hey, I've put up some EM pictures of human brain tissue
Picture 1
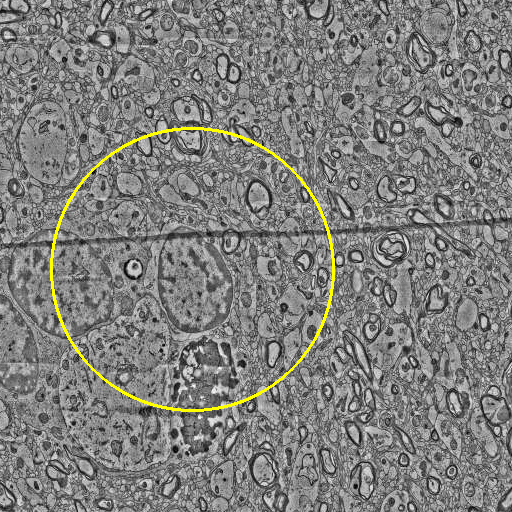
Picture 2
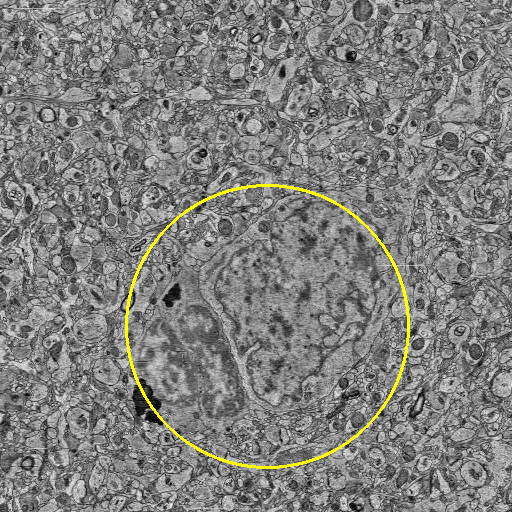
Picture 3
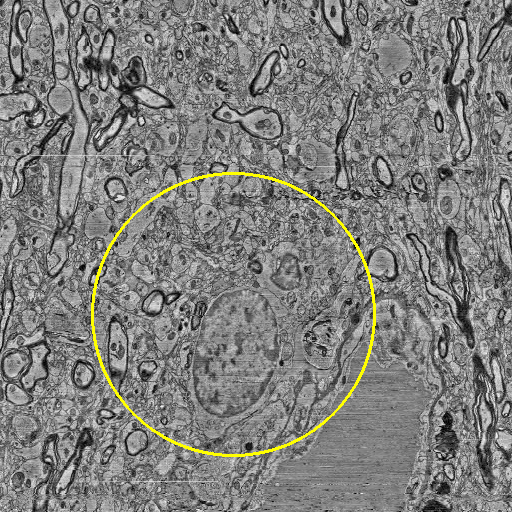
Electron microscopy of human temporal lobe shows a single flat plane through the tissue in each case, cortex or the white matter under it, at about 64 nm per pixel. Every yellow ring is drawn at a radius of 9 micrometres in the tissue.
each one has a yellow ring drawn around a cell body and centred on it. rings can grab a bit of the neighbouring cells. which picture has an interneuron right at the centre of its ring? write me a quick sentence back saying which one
It's Picture 2.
